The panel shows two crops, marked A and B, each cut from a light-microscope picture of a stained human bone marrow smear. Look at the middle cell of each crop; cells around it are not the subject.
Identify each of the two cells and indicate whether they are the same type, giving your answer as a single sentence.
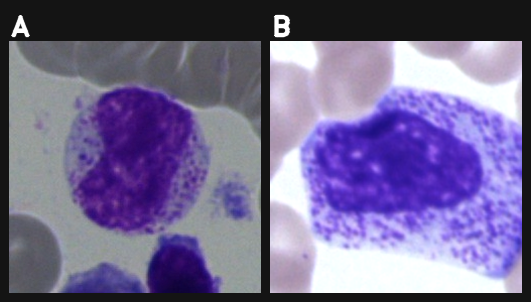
No, a metamyelocyte and a myelocyte are found in crop A and crop B, respectively.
